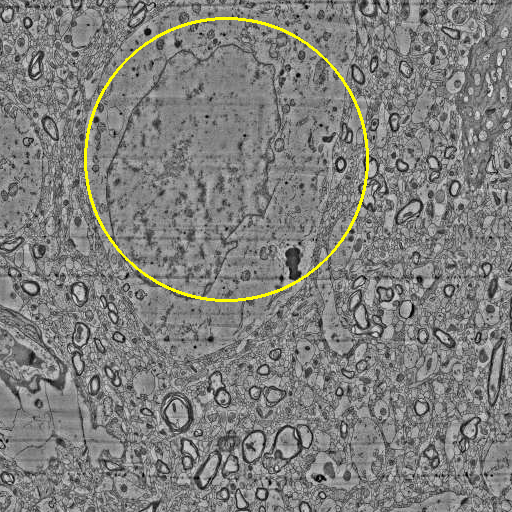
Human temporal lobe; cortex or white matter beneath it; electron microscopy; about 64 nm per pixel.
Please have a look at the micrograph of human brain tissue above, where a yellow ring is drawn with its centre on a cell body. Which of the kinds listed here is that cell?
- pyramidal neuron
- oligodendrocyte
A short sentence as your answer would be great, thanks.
At the centre of the ring sits a pyramidal neuron.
